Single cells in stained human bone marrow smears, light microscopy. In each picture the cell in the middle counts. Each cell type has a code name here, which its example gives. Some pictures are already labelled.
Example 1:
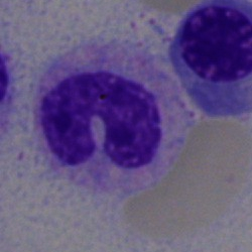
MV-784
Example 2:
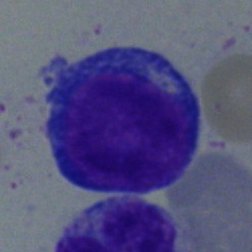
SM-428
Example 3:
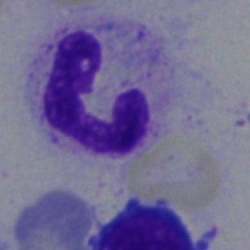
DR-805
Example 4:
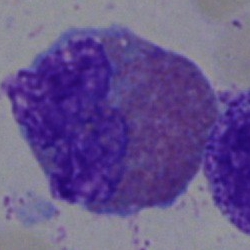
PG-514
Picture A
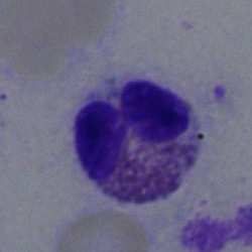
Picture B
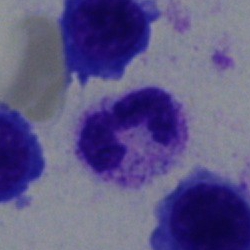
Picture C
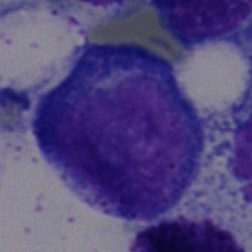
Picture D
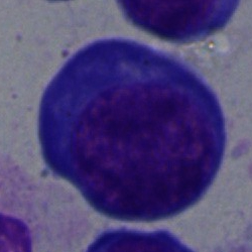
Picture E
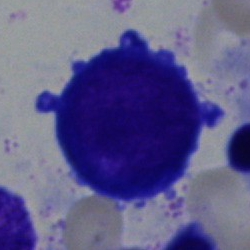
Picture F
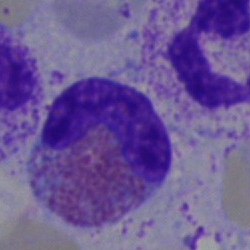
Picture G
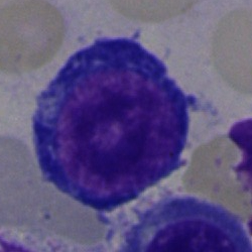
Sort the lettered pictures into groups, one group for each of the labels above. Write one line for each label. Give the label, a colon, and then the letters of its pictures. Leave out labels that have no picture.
SM-428: C, D, E, G
DR-805: B
PG-514: A, F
